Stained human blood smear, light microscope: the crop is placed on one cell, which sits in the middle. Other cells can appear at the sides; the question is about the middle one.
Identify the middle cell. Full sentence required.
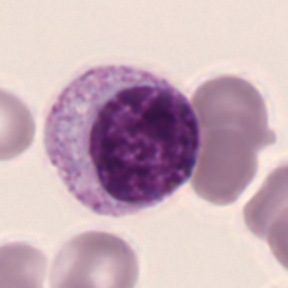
The cell that lies at the centre of the crop is a myelocyte.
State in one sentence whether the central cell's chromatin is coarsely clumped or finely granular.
Just so you know, its chromatin is coarsely clumped.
